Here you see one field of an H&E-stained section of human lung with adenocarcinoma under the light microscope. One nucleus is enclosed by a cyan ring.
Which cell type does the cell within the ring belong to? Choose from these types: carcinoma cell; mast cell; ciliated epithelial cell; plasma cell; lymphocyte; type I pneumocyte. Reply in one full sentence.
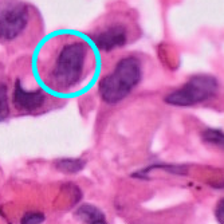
The category to which the cell within the ring belongs is that of a carcinoma cell.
